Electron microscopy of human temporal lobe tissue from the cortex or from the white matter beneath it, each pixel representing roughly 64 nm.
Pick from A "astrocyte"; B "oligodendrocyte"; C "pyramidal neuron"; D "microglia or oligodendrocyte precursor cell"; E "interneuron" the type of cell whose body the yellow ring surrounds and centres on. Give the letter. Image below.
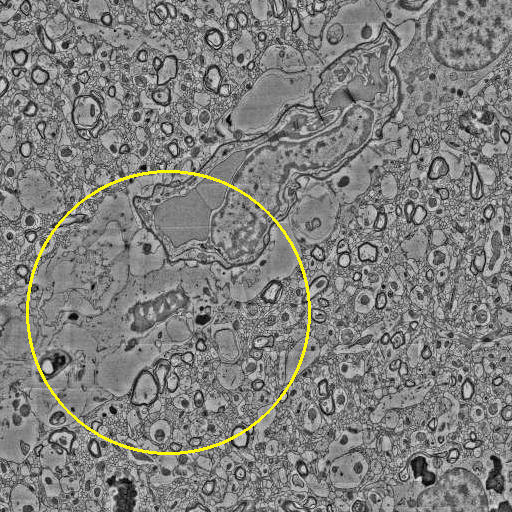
D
